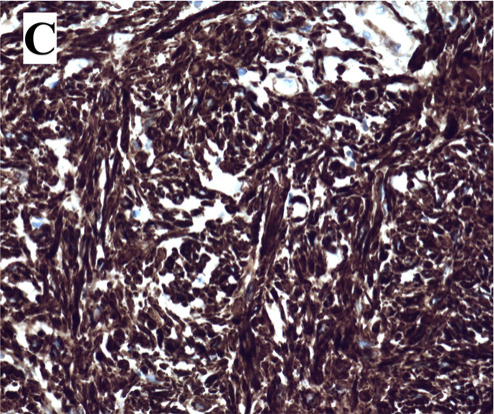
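Here the spindle cells of the tumor are densely packed in intersecting bundles, and nearly all of them are stained deep brown. The brown fills the elongated cell bodies, so the fascicles appear as dark streaks cut both lengthwise and across.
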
